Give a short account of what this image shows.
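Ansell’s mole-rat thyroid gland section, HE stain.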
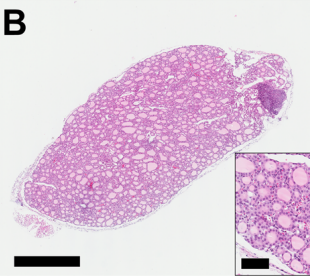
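A large oval lobe is packed with follicles of varying size, the bigger ones holding pink homogeneous contents and some appearing nearly empty or pale. At higher magnification the follicles are lined by a single layer of cuboidal cells with round purple nuclei, and the smaller follicles lie crowded between the larger ones. A dense dark purple focus lies near one edge of the lobe.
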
